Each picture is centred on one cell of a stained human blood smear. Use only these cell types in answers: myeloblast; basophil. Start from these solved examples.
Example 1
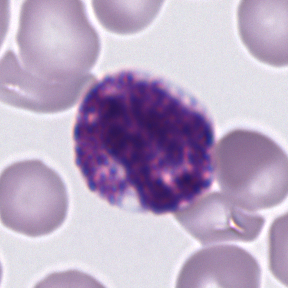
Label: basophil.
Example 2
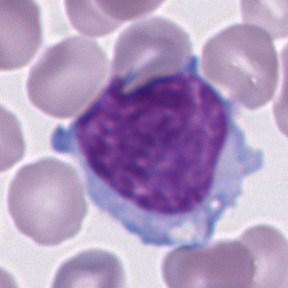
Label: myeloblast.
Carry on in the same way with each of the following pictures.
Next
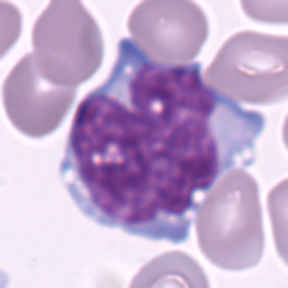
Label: myeloblast.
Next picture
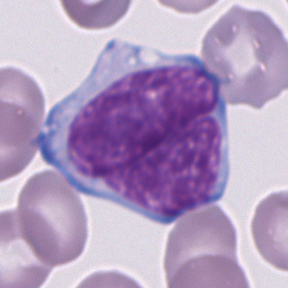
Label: myeloblast.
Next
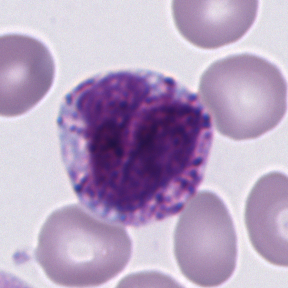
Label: basophil.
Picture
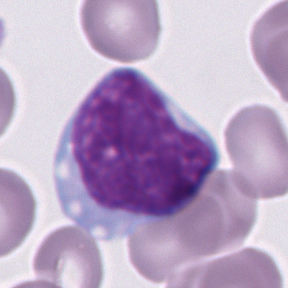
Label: myeloblast.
